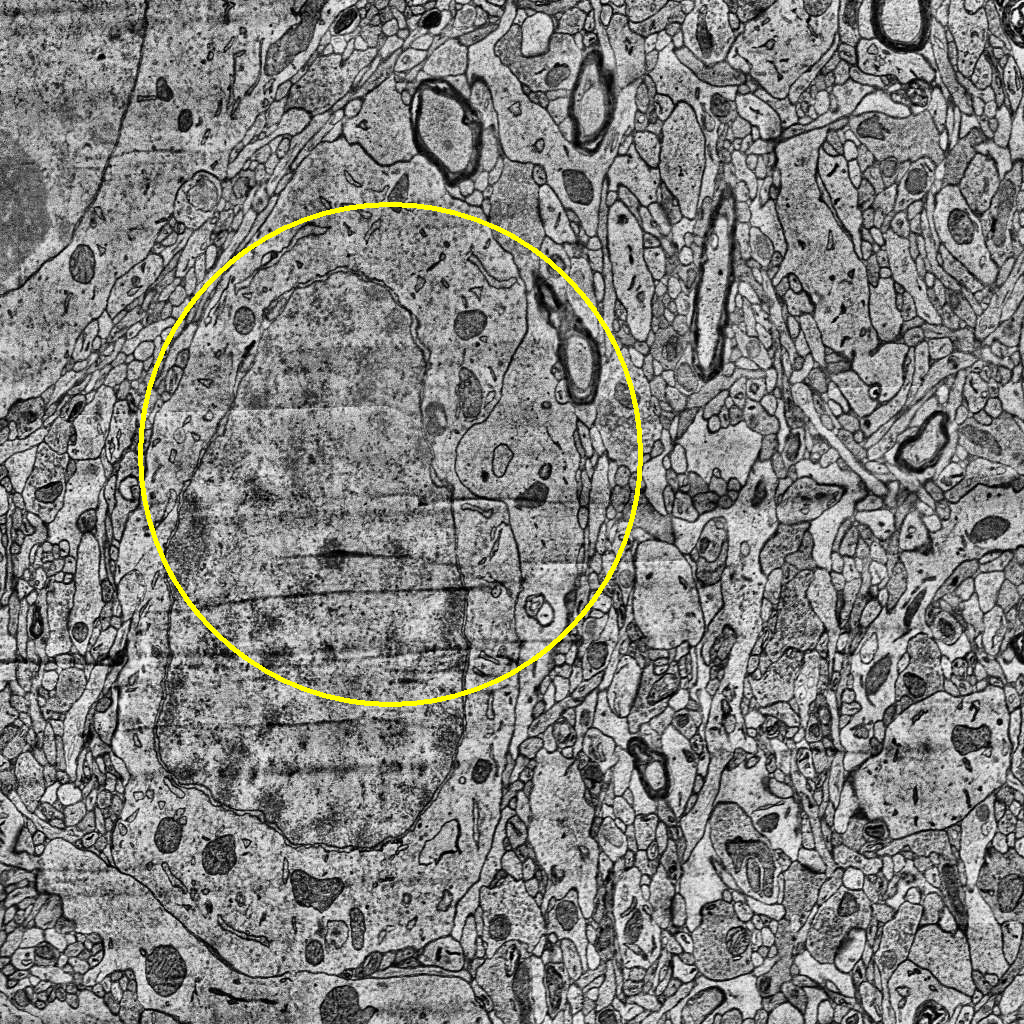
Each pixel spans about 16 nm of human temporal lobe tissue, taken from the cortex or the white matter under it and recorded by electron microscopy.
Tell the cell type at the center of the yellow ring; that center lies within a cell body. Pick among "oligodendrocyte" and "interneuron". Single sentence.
The ring's center lies in the body of an interneuron.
